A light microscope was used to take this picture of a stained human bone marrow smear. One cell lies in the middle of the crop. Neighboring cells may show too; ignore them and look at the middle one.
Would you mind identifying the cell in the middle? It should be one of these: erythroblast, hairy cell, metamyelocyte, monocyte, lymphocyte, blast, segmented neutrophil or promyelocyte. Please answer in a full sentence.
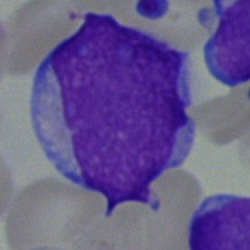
At the crop's centre, the cell is a blast.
